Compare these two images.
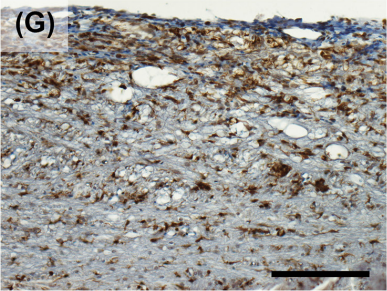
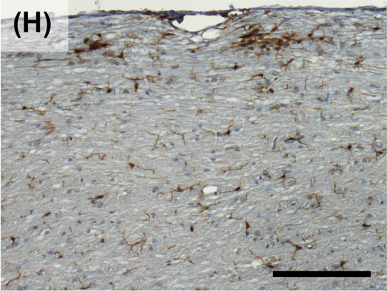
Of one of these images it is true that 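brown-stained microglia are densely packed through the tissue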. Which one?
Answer: The first image.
